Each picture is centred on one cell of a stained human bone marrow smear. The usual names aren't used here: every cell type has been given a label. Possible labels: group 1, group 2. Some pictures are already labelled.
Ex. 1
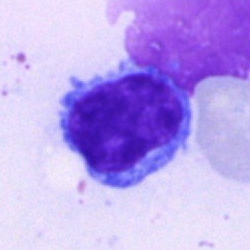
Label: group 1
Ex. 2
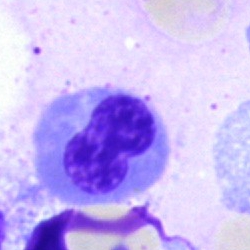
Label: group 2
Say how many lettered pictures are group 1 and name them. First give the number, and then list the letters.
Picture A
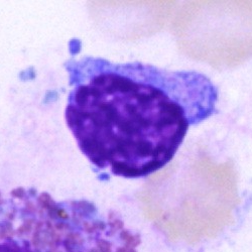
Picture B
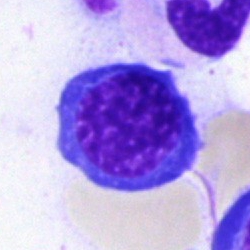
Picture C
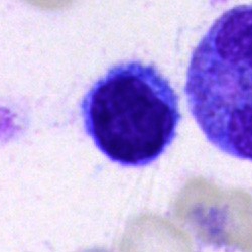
Count: 2 (A, C)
